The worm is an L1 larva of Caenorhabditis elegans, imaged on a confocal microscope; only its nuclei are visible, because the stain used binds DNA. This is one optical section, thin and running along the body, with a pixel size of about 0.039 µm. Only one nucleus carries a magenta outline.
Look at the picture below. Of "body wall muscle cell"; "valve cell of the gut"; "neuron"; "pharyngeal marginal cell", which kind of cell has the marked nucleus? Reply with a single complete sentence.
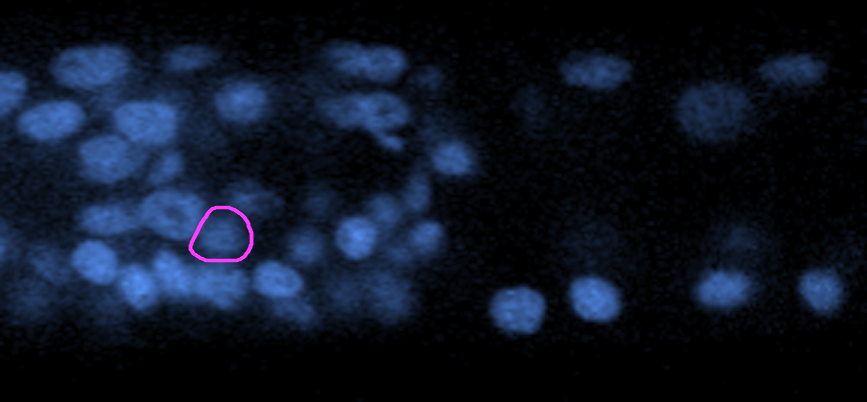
The nucleus comes from a neuron.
